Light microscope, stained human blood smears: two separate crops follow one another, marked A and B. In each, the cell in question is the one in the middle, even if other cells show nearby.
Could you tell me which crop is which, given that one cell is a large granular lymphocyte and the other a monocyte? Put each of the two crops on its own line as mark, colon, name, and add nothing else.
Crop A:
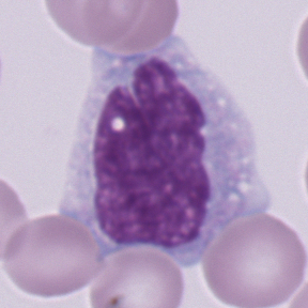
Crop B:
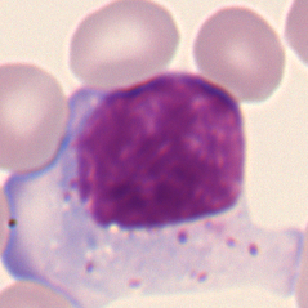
A: monocyte
B: large granular lymphocyte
